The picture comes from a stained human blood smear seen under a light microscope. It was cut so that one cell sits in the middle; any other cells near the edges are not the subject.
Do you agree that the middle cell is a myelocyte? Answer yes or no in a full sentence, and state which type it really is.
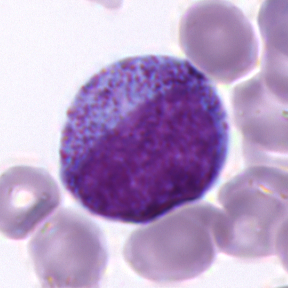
No, the label for the central cell is a promyelocyte, not a myelocyte.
